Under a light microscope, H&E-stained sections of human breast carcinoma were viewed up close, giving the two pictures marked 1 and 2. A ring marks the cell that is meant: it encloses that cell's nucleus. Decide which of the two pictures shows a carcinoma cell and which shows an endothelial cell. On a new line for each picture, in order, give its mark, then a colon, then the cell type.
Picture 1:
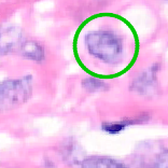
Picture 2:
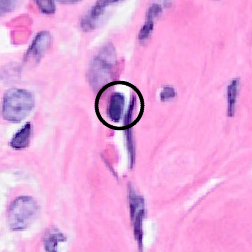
1: carcinoma cell
2: endothelial cell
